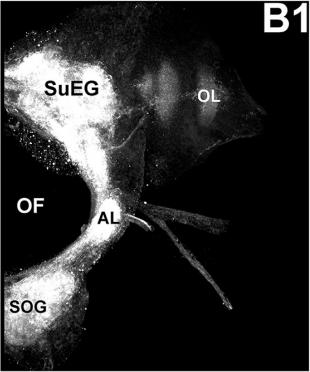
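The brightest areas lie in the upper left mass, along the connective that arches around a dark opening, and in the lower mass. A paler, more diffuse lateral lobe extends to the right with only faint patches of label. Fine bright strands project from the connective toward the lower right.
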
